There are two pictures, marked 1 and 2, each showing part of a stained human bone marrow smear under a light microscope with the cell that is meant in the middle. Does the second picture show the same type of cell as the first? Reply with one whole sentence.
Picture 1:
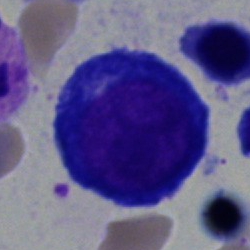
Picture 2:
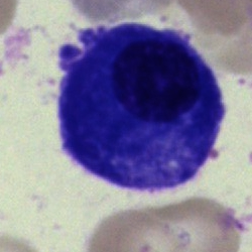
No. Picture 1 shows a proerythroblast, but picture 2 shows a plasma cell.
